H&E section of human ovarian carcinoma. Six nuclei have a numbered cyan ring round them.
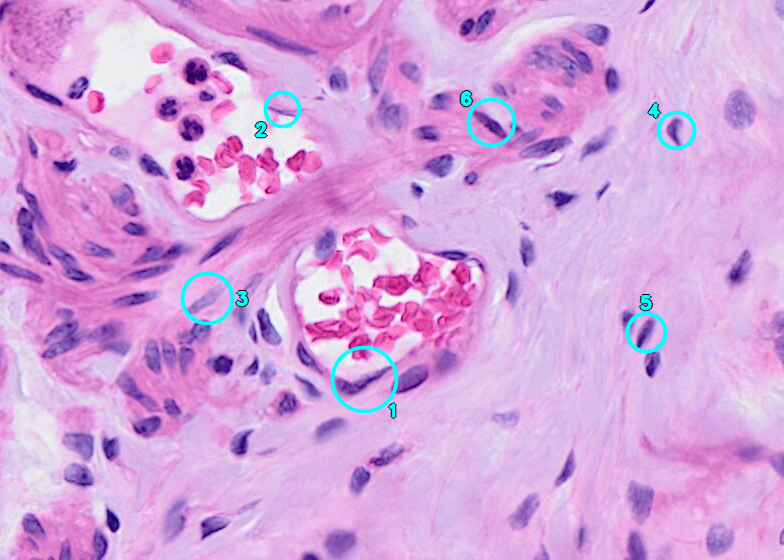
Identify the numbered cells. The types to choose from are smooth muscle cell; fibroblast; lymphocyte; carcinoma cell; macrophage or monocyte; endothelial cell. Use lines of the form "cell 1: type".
cell 1: endothelial cell
cell 2: endothelial cell
cell 3: smooth muscle cell
cell 4: fibroblast
cell 5: fibroblast
cell 6: smooth muscle cell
